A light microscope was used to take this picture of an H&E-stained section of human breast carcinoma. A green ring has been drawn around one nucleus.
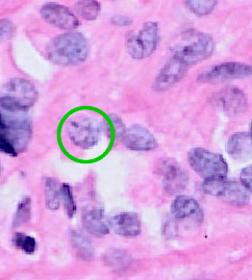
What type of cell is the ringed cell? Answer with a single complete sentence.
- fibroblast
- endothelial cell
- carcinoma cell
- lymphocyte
Cytologically, the ringed cell is to be regarded as a carcinoma cell.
